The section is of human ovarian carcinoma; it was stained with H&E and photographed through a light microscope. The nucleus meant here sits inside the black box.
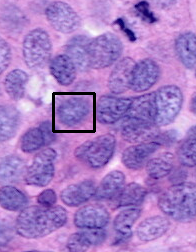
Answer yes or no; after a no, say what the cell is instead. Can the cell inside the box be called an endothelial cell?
No, it is a carcinoma cell.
